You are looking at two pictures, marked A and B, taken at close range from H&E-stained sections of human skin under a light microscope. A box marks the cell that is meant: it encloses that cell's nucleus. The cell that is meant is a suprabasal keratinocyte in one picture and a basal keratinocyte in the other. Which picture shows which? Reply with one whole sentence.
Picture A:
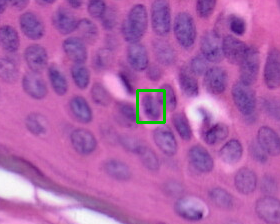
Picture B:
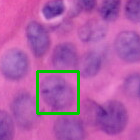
The cell in picture A is a basal keratinocyte, and the one in picture B is a suprabasal keratinocyte.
